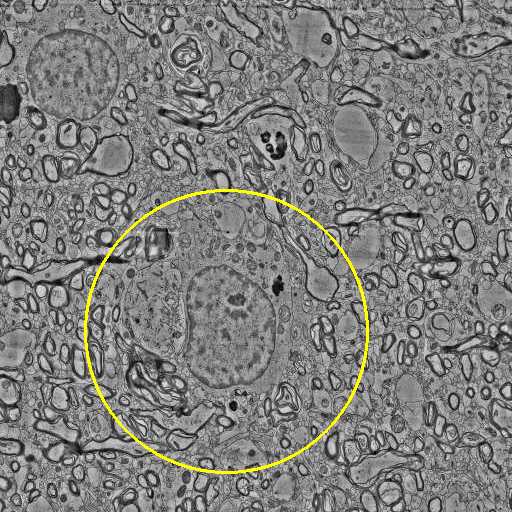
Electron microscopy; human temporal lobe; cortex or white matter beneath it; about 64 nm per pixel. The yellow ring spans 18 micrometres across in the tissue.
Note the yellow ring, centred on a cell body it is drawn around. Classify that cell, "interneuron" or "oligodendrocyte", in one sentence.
The cell the ring is centred on is an oligodendrocyte.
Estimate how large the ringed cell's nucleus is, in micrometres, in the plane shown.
In this plane the nucleus is about 8 micrometres by 6.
